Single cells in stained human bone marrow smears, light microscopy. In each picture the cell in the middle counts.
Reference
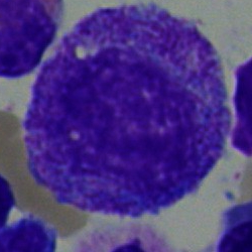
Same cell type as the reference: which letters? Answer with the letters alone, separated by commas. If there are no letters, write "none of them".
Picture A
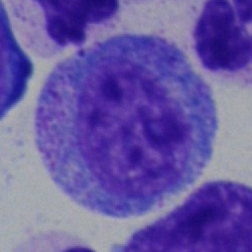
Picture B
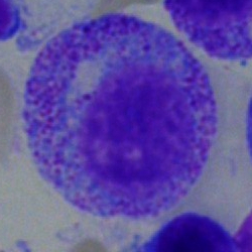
A, B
